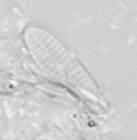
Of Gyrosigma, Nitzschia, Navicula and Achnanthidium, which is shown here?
Achnanthidium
